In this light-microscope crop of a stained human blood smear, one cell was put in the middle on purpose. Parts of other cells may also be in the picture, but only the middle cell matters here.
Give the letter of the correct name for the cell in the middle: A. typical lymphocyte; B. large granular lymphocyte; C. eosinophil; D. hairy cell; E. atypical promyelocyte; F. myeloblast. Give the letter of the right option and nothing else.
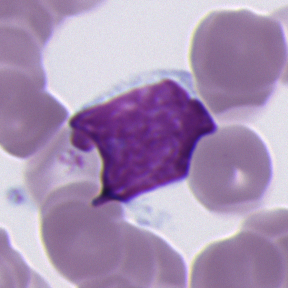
A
